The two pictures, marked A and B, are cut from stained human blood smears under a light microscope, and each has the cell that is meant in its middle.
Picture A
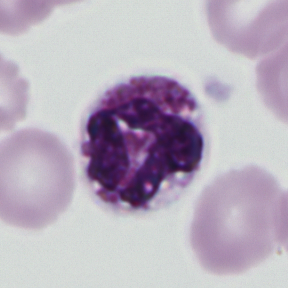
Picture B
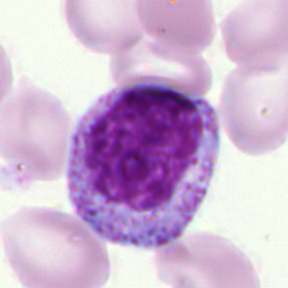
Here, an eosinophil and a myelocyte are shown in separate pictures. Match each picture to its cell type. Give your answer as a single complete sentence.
Picture A is of an eosinophil, and picture B is of a myelocyte.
